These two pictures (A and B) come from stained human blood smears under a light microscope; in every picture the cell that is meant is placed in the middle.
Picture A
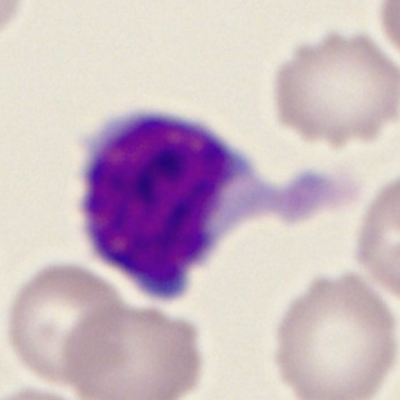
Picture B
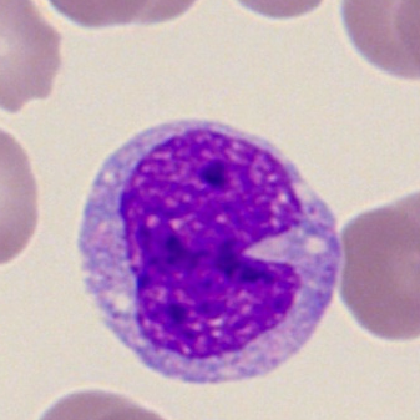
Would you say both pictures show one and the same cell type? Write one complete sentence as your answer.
No, the types are not the same, since picture A shows a lymphocyte and picture B a monocyte.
